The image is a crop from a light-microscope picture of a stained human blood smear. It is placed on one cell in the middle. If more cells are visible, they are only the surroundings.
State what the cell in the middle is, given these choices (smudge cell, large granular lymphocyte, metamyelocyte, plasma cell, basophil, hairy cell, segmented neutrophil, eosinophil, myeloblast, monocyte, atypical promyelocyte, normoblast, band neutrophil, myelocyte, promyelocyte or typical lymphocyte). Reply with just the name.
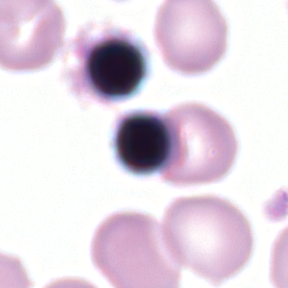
normoblast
